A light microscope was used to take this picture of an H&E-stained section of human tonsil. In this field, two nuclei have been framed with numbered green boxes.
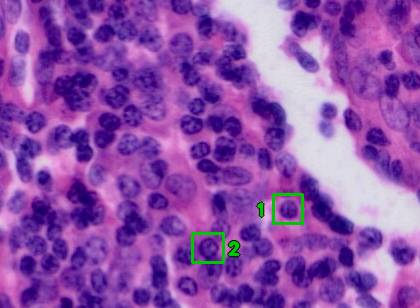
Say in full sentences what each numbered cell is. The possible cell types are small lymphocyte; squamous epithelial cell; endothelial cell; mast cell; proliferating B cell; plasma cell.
Cell 1 is an endothelial cell and cell 2 is a plasma cell.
